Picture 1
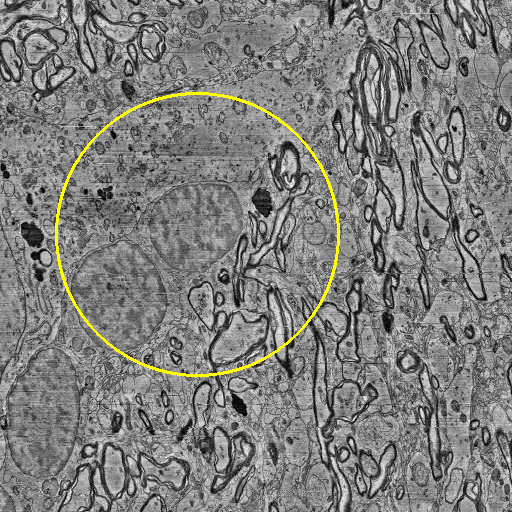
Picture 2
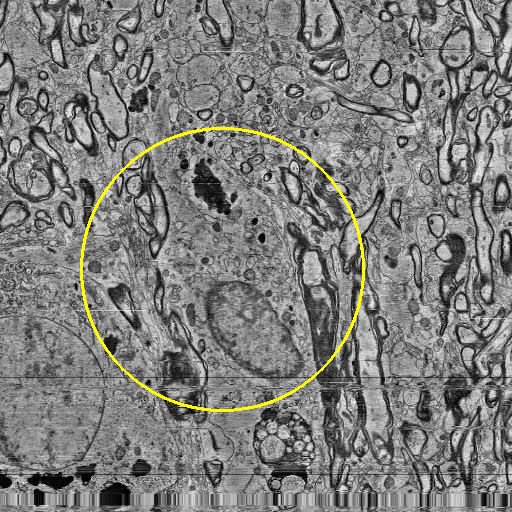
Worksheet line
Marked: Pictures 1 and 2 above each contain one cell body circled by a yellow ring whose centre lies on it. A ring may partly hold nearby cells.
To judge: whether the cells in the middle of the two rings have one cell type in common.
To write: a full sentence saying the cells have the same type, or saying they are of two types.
The cells in the middle of the rings in Picture 1 and Picture 2 are of two types.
